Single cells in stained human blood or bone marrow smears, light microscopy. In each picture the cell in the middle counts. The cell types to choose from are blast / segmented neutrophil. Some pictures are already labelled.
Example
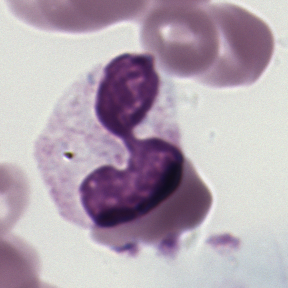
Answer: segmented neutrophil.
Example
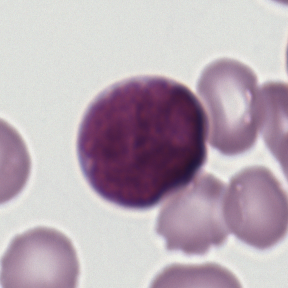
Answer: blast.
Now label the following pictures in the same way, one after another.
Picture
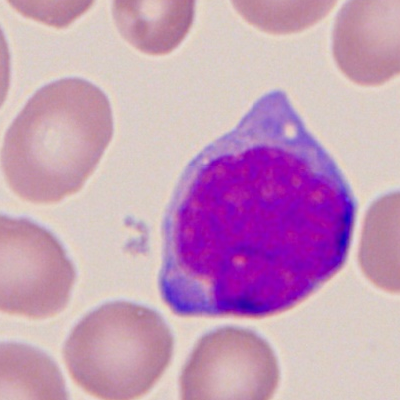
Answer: blast.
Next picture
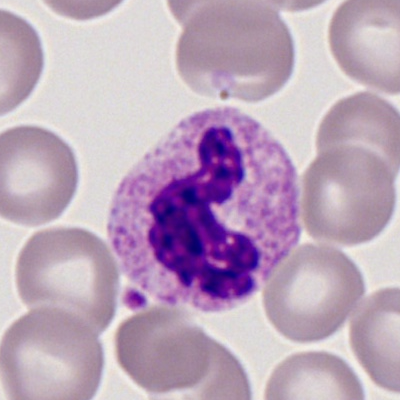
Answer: segmented neutrophil.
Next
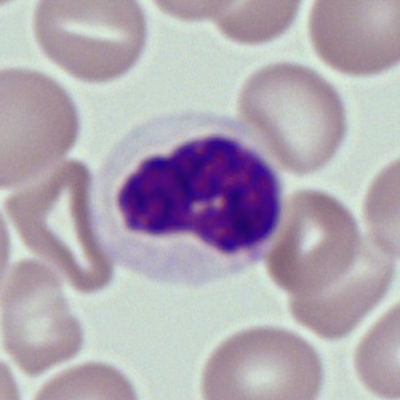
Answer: segmented neutrophil.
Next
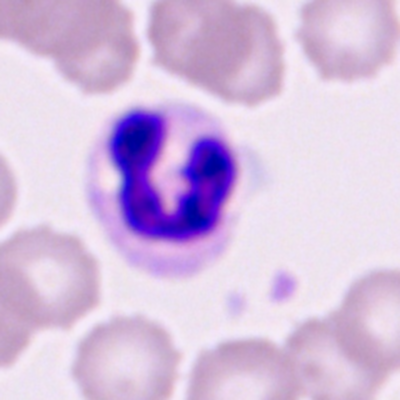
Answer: segmented neutrophil.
